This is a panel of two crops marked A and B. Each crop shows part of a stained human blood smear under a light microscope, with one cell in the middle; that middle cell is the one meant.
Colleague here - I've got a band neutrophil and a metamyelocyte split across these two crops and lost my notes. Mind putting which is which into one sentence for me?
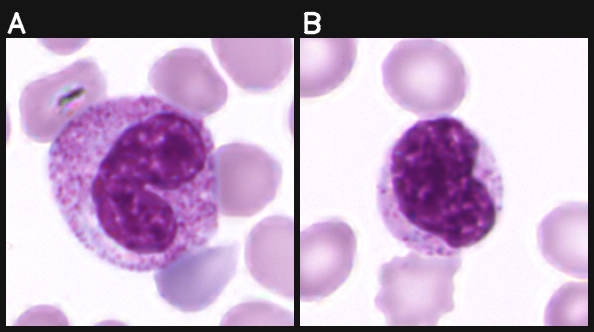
The cell in crop A is a band neutrophil, and the one in crop B is a metamyelocyte.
